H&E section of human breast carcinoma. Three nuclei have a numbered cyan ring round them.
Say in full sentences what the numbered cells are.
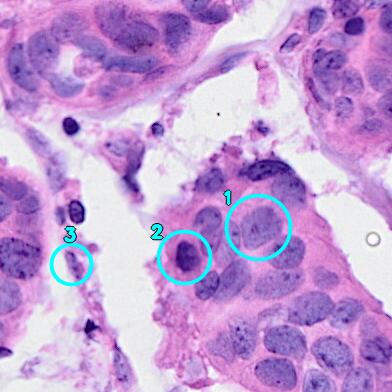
Cells 1 and 2 are carcinoma cells. Cell 3 is a fibroblast.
